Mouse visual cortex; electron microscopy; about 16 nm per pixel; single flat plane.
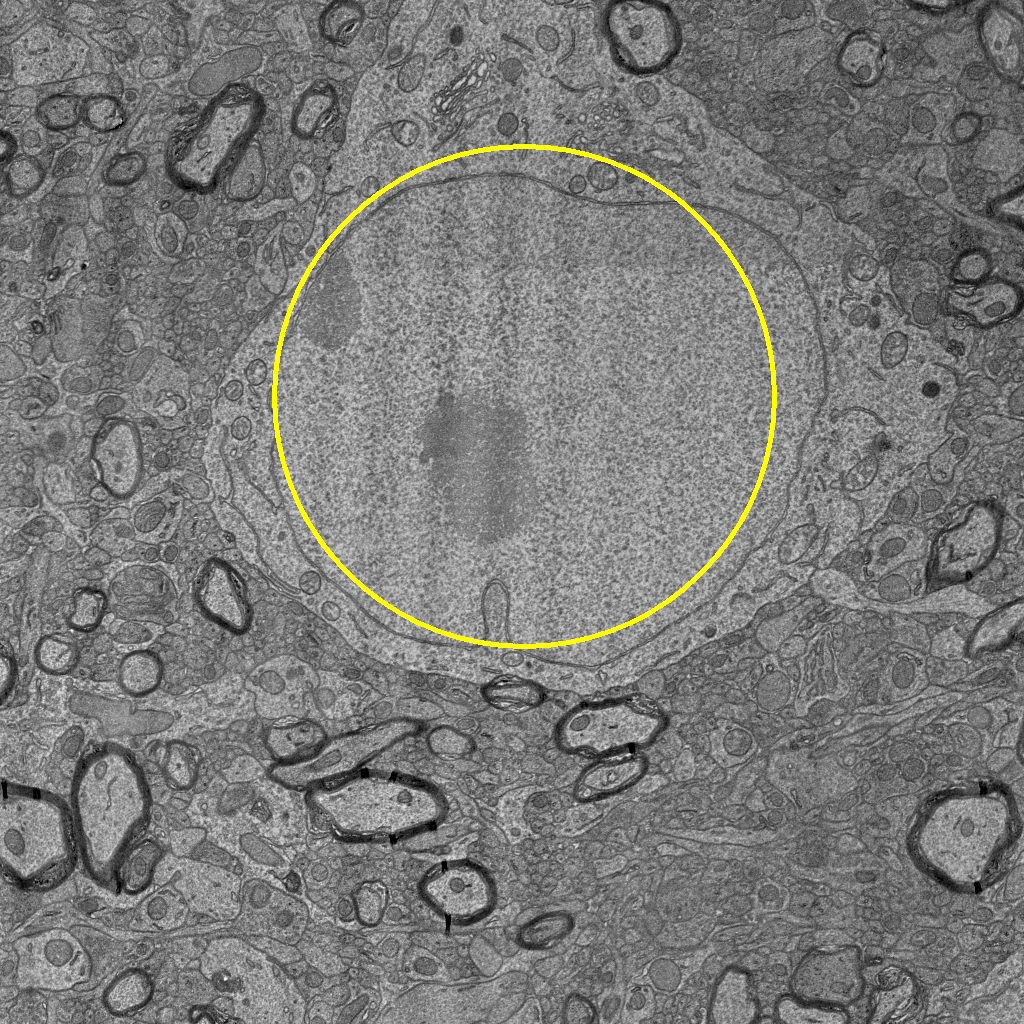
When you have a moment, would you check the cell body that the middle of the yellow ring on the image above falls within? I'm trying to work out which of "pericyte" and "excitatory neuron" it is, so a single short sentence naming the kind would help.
This cell body belongs to an excitatory neuron.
